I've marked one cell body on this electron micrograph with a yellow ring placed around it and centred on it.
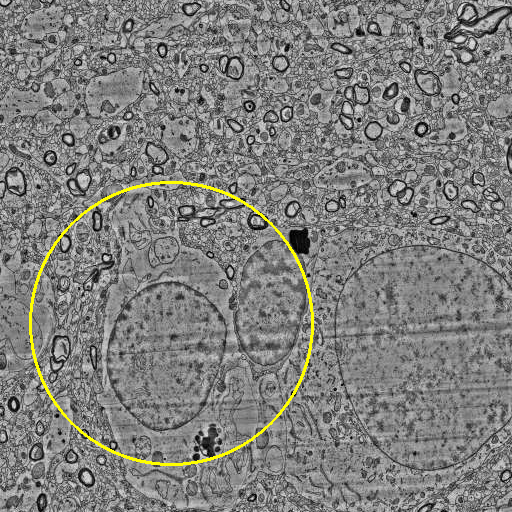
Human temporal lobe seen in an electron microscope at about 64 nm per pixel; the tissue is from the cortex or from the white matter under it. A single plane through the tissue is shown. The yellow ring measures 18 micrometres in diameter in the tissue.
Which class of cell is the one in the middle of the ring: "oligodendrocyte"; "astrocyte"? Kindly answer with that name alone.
astrocyte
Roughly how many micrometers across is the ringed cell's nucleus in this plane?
About 10 by 8 micrometers for the nucleus, in this plane.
